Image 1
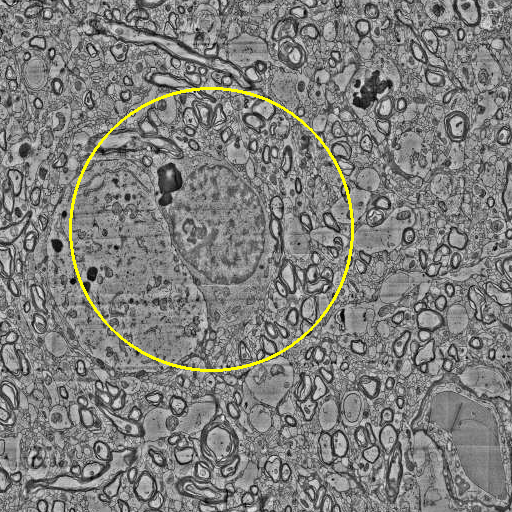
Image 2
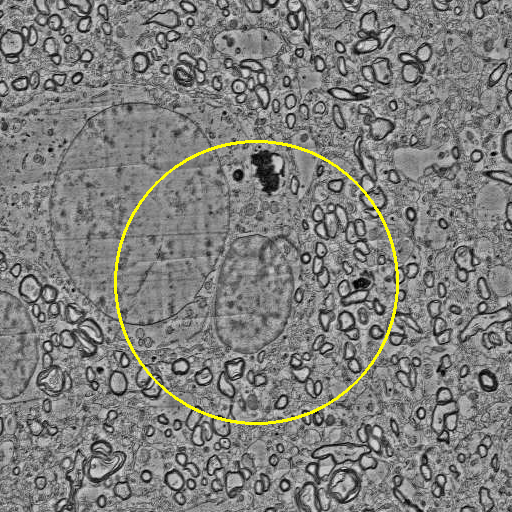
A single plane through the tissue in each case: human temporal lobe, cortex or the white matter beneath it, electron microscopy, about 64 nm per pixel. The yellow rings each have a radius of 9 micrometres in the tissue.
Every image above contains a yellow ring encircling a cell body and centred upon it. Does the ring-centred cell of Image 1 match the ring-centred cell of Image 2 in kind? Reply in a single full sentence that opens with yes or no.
Yes, the cell at the ring's centre in Image 1 is the same kind as that in Image 2.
